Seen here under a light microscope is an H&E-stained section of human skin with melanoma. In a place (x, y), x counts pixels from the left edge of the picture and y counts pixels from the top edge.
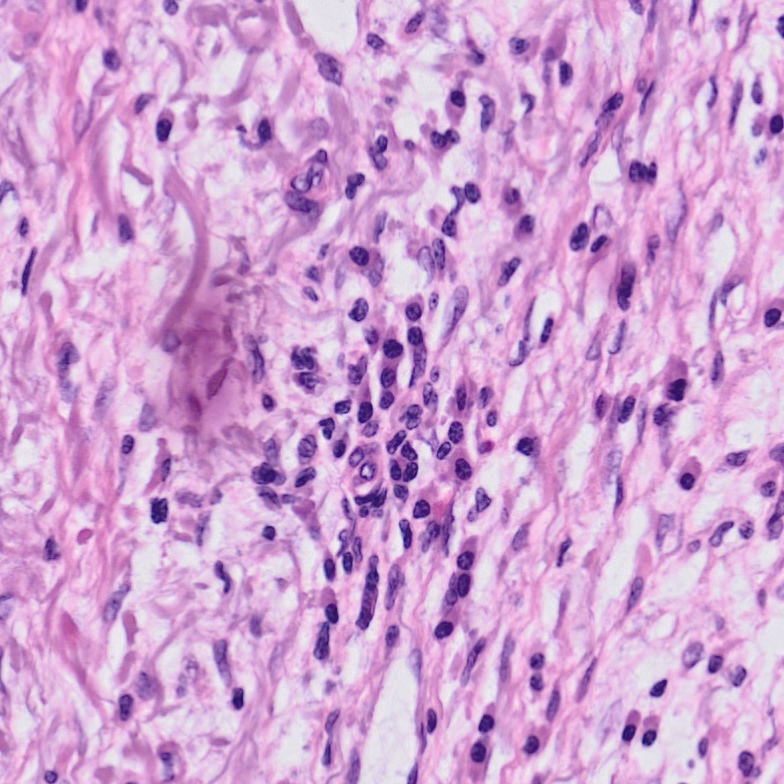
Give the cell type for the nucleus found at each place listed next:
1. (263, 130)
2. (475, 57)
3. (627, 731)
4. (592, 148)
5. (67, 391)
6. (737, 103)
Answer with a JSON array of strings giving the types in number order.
["plasma cell", "plasma cell", "plasma cell", "fibroblast or myofibroblast", "fibroblast or myofibroblast", "fibroblast or myofibroblast"]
